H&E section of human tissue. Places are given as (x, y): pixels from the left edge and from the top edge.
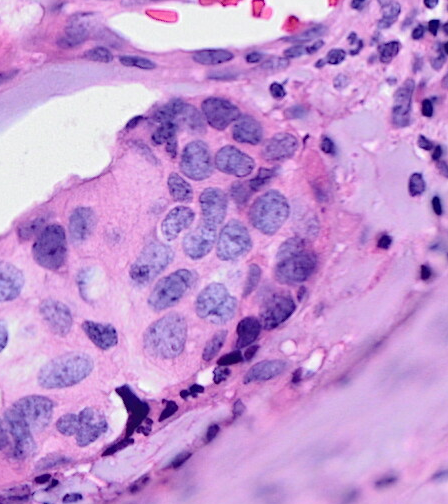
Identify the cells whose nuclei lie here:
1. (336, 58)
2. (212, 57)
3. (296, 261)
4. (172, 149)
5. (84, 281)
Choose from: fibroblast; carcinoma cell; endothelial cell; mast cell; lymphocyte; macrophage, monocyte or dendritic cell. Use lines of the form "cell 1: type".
cell 1: lymphocyte
cell 2: endothelial cell
cell 3: carcinoma cell
cell 4: carcinoma cell
cell 5: carcinoma cell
